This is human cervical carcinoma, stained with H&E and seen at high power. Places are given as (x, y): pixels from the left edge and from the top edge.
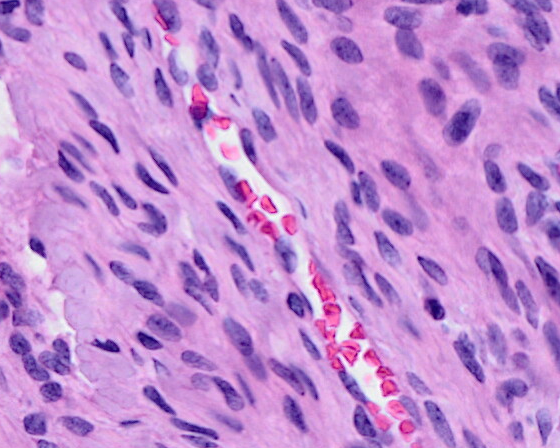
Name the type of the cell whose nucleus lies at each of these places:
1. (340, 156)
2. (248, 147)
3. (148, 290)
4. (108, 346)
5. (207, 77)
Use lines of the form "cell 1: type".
cell 1: fibroblast
cell 2: endothelial cell
cell 3: fibroblast
cell 4: fibroblast
cell 5: endothelial cell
